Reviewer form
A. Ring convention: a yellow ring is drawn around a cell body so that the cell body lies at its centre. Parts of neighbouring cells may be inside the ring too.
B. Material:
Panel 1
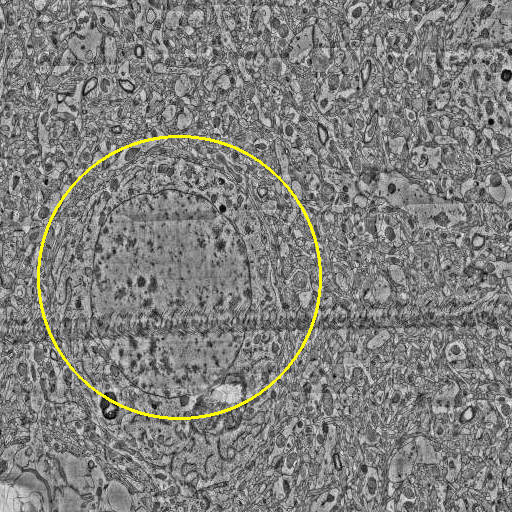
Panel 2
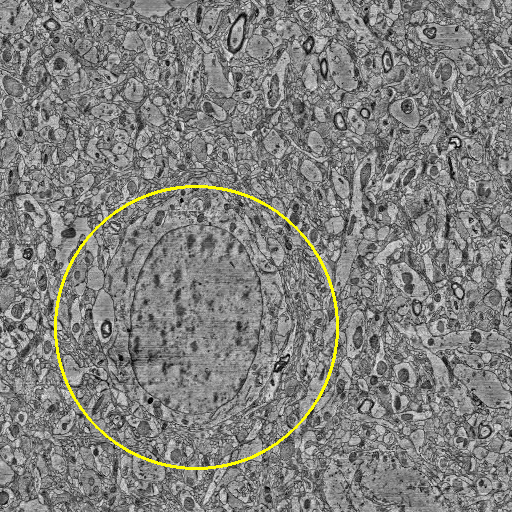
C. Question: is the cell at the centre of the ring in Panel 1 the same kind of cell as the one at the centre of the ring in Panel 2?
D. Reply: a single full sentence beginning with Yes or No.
Yes, the cells in Panel 1 and Panel 2 are the same kind of cell.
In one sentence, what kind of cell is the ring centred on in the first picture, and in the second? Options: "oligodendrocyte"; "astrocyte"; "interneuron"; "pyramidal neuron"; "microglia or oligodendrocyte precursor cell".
Both the first and the second picture show a pyramidal neuron in the ring.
